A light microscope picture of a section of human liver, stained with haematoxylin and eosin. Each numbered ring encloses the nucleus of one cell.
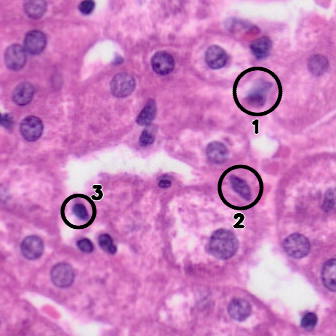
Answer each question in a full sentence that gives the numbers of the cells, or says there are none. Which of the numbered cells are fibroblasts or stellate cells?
Just one of the numbered cells is a fibroblast or stellate cell, namely number 2.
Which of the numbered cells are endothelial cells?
Only the cell numbered 1 qualifies as an endothelial cell among the marked cells.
